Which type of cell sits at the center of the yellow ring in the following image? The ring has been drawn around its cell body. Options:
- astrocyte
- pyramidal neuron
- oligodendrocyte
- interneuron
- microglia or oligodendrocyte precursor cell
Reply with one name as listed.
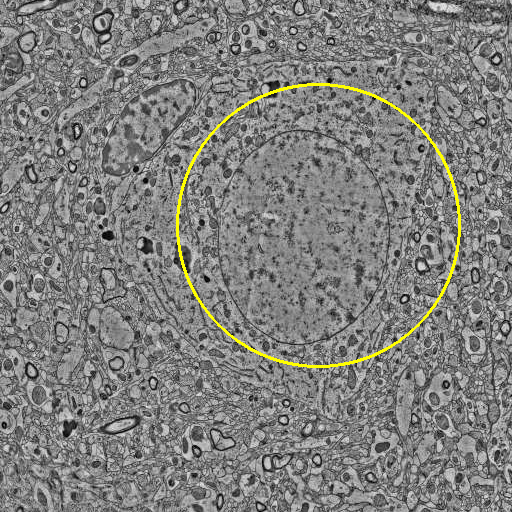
pyramidal neuron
